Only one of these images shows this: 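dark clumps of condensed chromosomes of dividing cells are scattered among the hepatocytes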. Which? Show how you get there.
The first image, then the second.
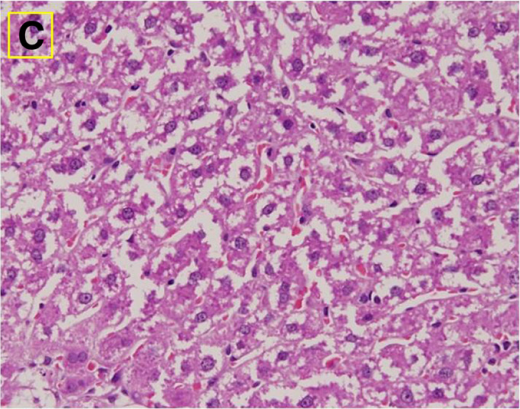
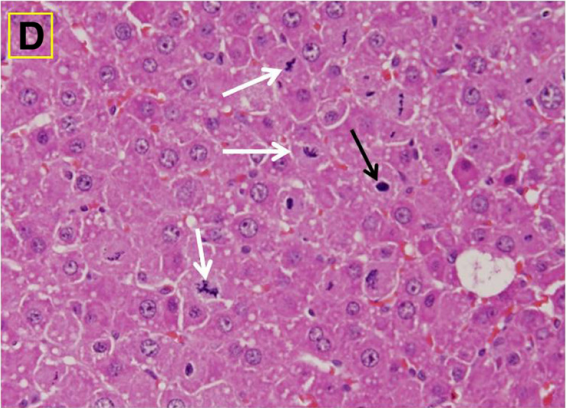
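First image: ragged, vacuolated hepatocyte cords with round nuclei and no dark condensed chromosome clumps. Second image: several dark irregular chromosome clumps marked by arrows among compact pink hepatocytes.
Answer: the second image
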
